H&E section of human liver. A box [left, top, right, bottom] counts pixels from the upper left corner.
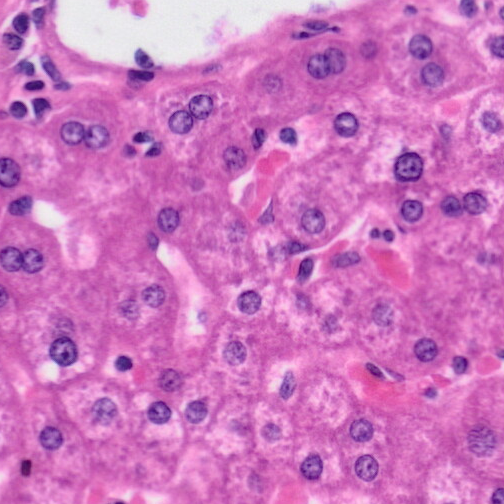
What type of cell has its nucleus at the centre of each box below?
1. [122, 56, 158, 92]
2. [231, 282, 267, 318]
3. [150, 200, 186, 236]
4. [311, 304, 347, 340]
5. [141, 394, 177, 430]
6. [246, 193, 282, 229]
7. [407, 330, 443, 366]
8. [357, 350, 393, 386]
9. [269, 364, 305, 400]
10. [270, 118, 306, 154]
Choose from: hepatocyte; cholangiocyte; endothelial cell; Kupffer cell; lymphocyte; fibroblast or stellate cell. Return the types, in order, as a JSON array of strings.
["fibroblast or stellate cell", "hepatocyte", "hepatocyte", "hepatocyte", "hepatocyte", "endothelial cell", "hepatocyte", "endothelial cell", "Kupffer cell", "lymphocyte"]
